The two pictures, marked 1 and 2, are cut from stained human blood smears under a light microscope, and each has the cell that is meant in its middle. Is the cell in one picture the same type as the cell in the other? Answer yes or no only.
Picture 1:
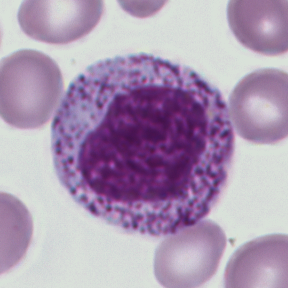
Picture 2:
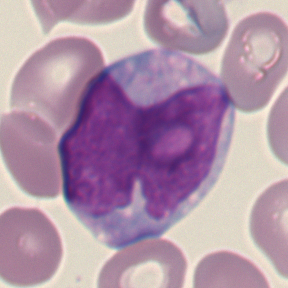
no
